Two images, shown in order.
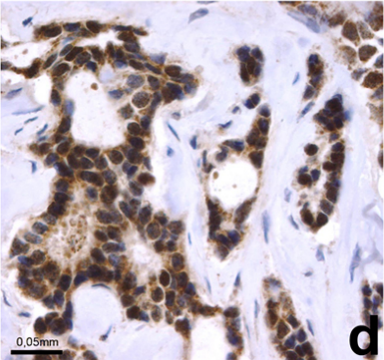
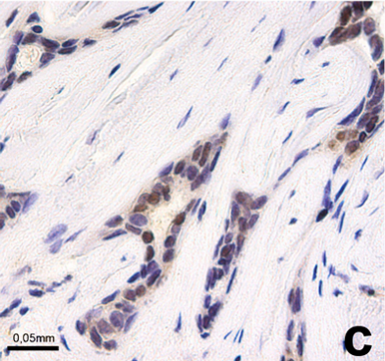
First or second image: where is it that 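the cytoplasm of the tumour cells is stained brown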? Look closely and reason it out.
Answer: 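Second image: the cytoplasm is pale and the brown is confined to nuclei.
Hence: the first image.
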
